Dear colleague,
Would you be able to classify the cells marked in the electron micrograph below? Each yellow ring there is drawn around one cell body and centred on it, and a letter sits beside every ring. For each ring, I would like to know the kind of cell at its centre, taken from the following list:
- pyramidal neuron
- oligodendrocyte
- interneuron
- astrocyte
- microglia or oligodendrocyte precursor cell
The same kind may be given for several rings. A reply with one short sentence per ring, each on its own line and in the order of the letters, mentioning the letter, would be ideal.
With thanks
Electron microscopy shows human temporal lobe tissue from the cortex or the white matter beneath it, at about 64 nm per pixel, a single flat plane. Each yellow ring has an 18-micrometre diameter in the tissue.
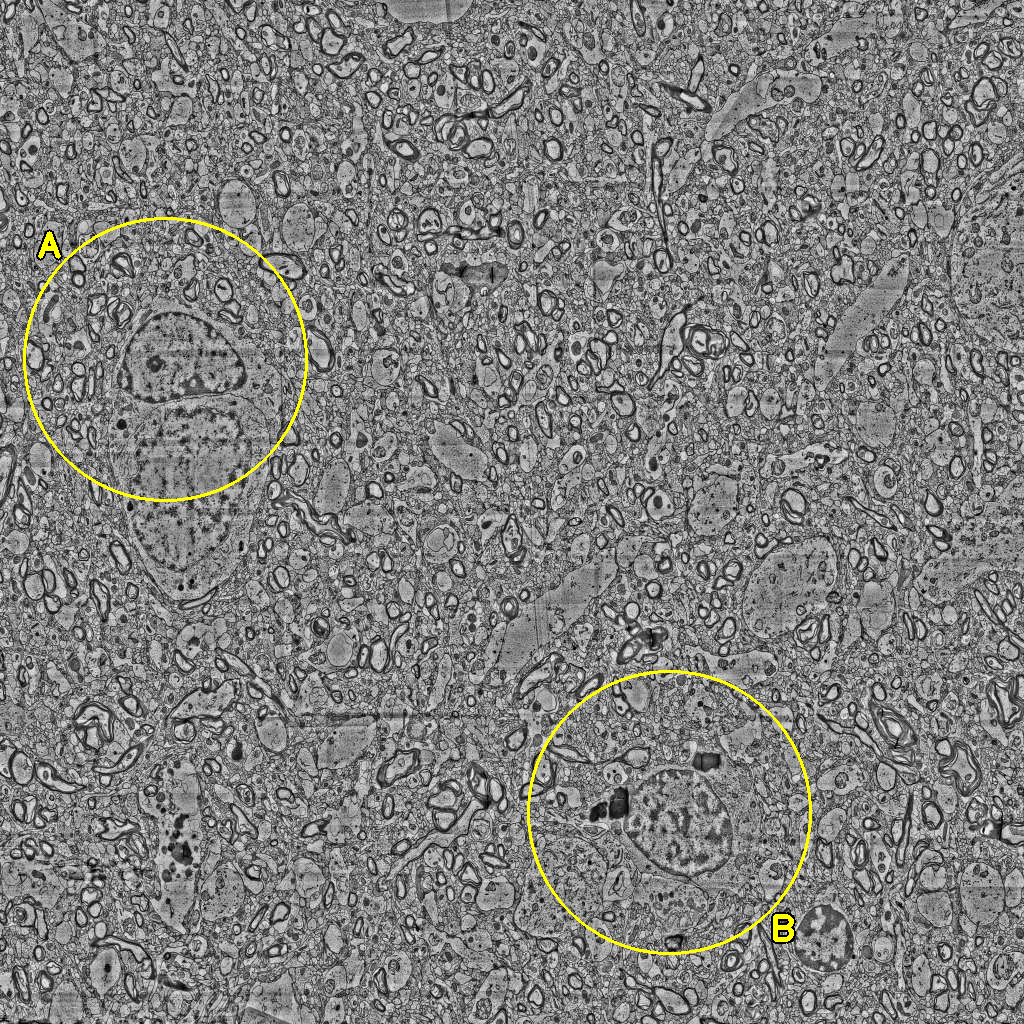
Ring A contains a microglial cell or oligodendrocyte precursor cell at its centre.
Ring B contains an oligodendrocyte at its centre.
